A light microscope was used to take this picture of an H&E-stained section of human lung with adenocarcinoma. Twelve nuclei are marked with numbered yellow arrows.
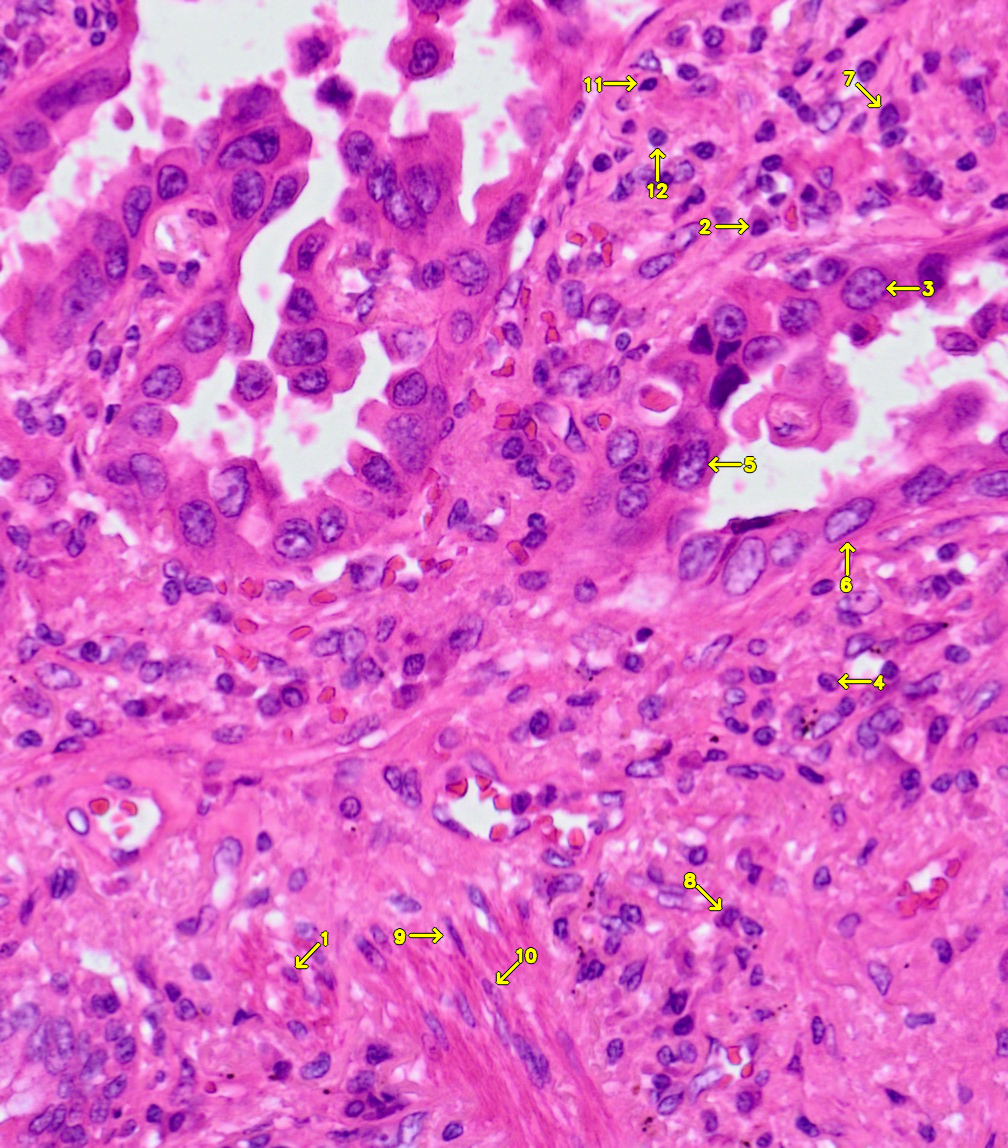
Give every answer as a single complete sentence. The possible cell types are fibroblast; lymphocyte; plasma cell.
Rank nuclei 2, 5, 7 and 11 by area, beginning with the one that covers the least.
Smallest first, the nuclei run 11, 2, 7, 5.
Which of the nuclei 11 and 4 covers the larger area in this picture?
The larger nucleus is 4, at roughly 2 times the area of 11.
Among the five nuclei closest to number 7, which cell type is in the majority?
Around number 7, most of the five nearest nuclei are those of lymphocytes.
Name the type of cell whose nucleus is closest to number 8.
It is a lymphocyte whose nucleus is nearest to number 8.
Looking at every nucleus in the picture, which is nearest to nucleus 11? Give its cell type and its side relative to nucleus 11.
The nearest nucleus is that of a fibroblast and lies above nucleus 11.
